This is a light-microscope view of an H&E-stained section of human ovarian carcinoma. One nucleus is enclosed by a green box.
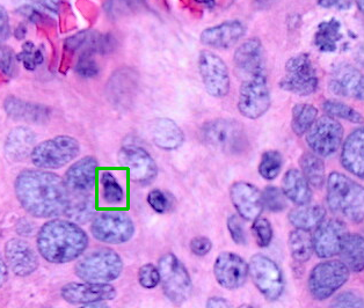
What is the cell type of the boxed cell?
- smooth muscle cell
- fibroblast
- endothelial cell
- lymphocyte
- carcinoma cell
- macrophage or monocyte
lymphocyte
